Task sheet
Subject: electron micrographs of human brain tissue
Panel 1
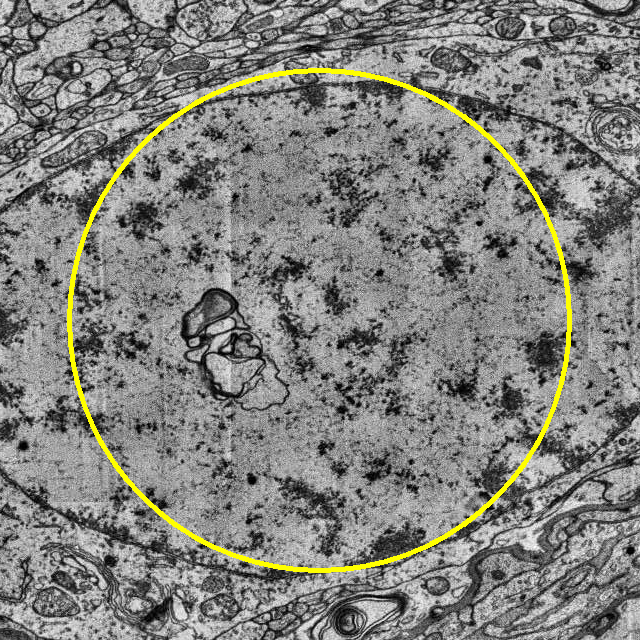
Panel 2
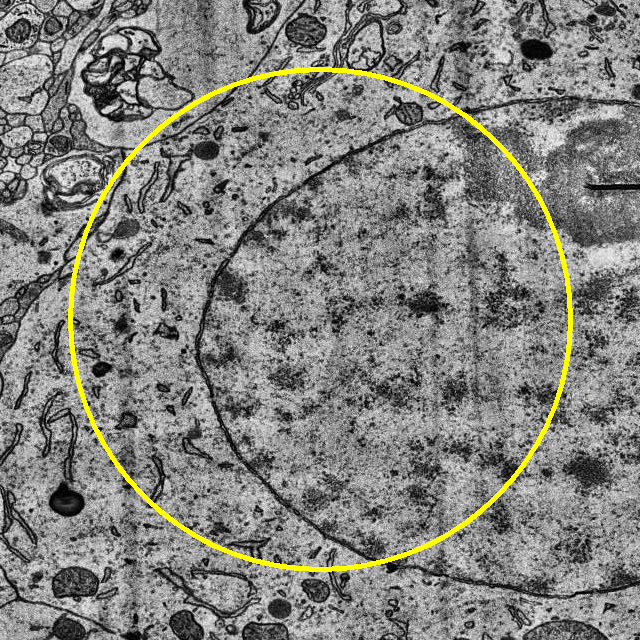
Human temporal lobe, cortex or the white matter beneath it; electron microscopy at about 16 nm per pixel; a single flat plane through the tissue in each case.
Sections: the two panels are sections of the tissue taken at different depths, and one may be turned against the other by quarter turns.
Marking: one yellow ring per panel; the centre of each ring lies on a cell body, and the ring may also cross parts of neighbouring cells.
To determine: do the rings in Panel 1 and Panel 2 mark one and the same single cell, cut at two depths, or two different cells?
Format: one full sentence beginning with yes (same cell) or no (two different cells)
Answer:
No, the two rings mark two different cells.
